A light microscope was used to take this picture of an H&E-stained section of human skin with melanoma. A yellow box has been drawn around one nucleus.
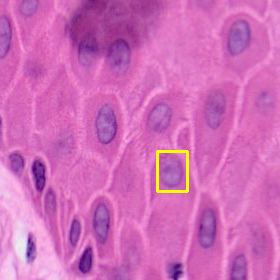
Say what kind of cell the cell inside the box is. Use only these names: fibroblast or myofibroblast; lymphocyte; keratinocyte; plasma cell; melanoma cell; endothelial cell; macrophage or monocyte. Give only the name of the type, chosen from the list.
keratinocyte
